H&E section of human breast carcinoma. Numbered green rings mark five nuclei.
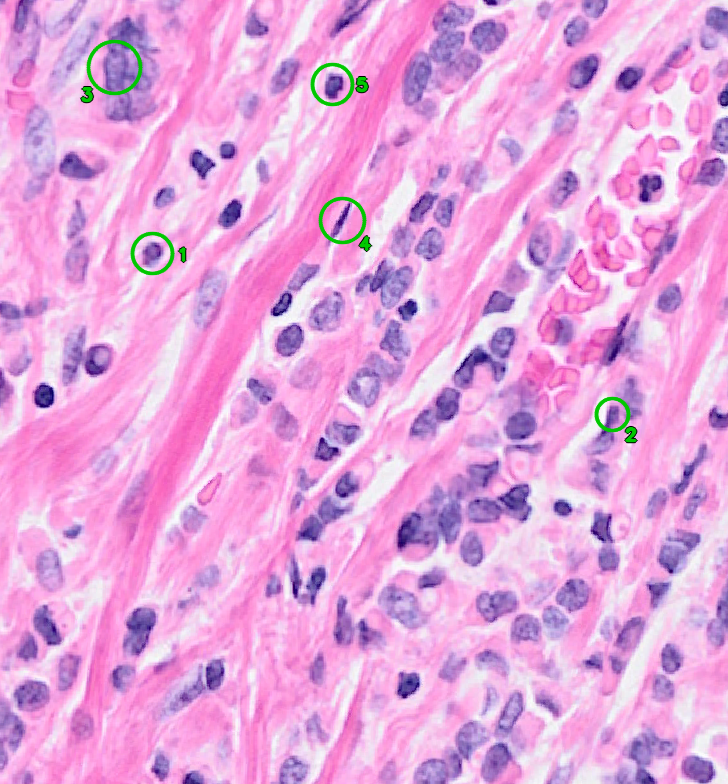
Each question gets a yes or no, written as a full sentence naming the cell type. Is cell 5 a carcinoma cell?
No, rather than a carcinoma cell, cell number 5 is a lymphocyte.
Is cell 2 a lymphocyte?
No, it's not a lymphocyte at number 2; that cell is an endothelial cell.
